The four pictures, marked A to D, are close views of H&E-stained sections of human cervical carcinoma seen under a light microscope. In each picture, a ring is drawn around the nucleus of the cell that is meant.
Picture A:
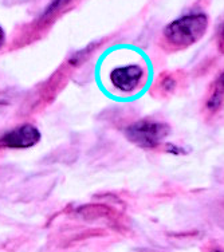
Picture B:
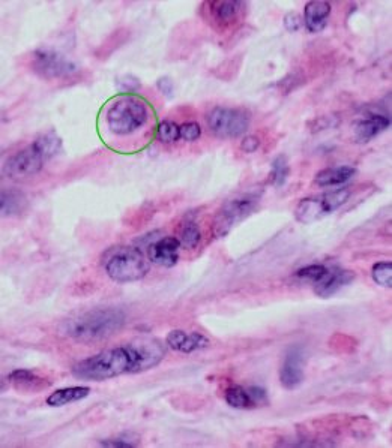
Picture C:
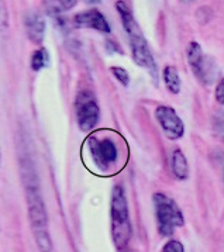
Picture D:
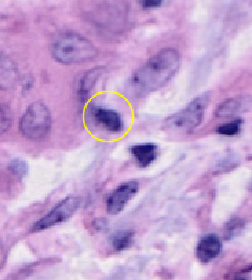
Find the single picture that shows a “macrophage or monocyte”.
B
